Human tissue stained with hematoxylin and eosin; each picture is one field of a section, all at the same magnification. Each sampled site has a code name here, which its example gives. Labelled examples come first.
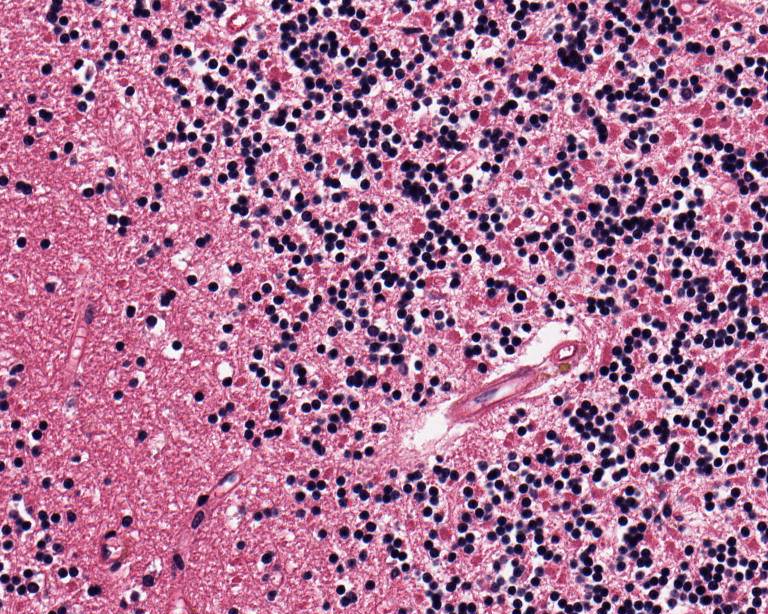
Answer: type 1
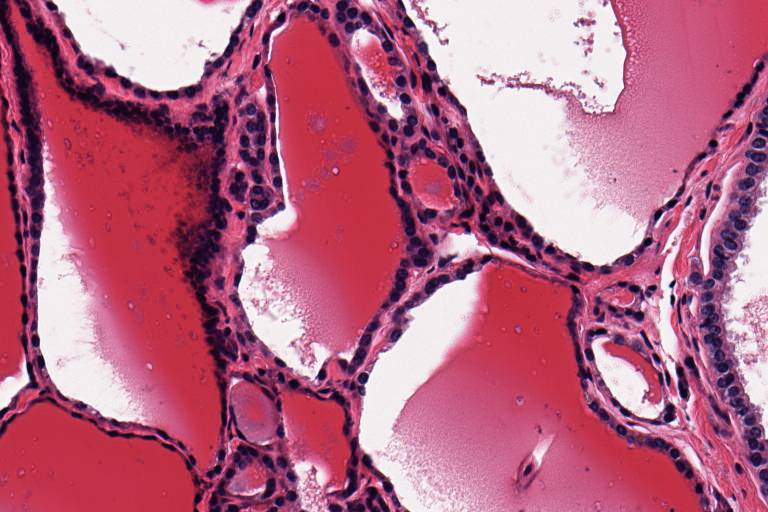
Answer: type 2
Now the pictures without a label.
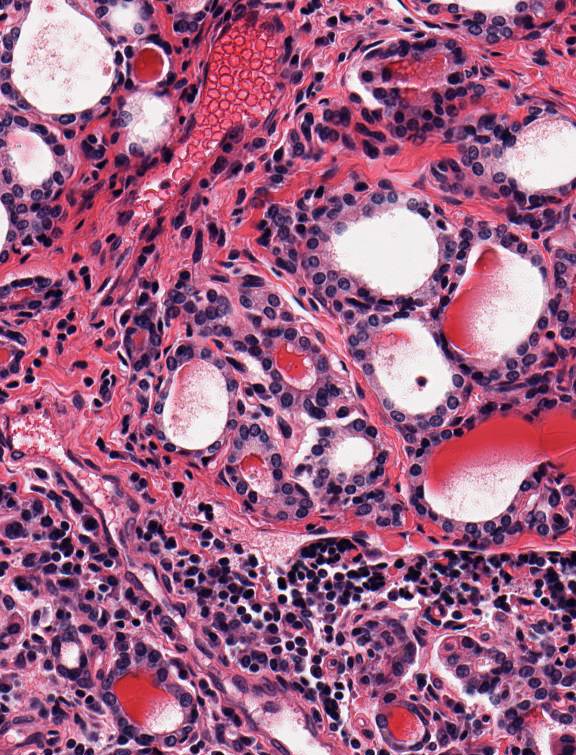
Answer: type 2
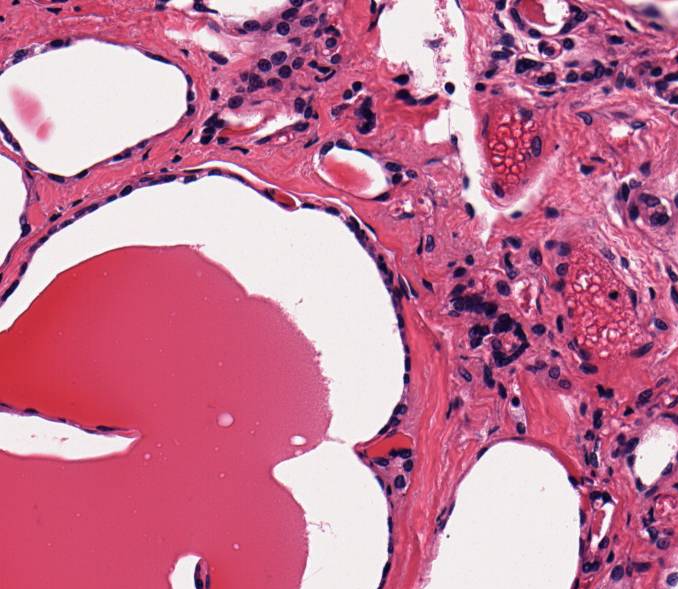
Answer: type 2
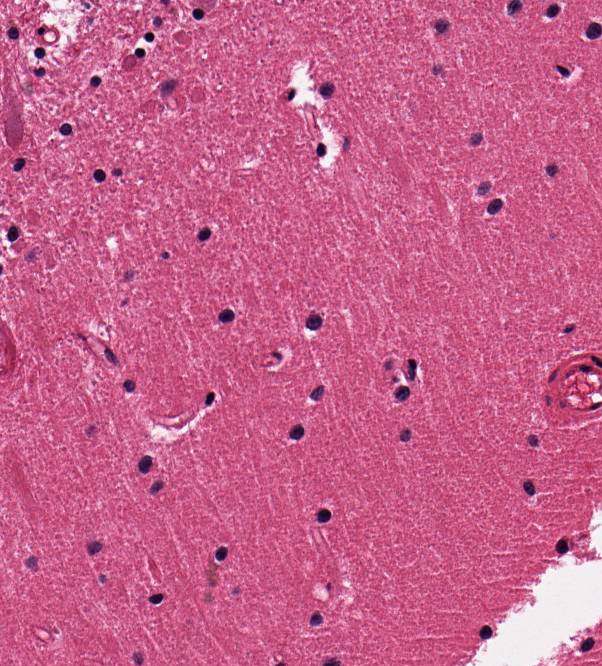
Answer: type 1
